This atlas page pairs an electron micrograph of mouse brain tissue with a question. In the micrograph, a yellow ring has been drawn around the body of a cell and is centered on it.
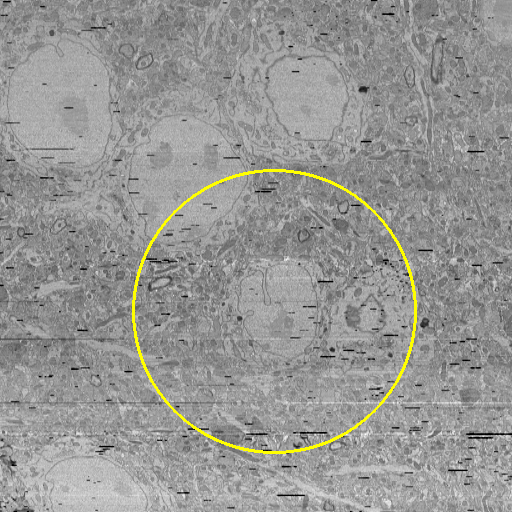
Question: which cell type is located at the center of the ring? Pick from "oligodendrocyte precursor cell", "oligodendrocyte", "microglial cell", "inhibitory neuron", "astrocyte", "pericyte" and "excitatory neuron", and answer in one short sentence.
Located at the center of the ring is an inhibitory neuron.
